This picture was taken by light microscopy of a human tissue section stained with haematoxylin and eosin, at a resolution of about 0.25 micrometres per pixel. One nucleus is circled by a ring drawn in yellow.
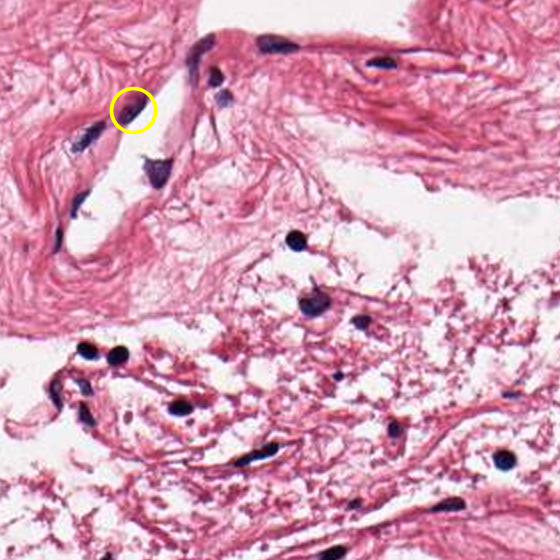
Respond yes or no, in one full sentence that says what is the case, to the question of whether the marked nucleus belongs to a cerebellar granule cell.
No, the cell whose nucleus is marked is a supporting cell and not a cerebellar granule cell.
